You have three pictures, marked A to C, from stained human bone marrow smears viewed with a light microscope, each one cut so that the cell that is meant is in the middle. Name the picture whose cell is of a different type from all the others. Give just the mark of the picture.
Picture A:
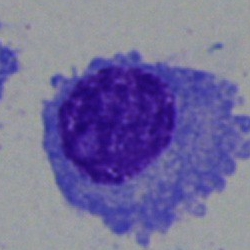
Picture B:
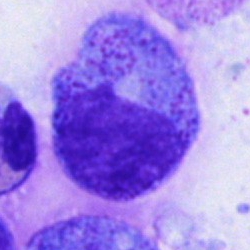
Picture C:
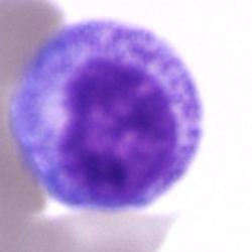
A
